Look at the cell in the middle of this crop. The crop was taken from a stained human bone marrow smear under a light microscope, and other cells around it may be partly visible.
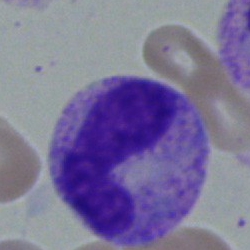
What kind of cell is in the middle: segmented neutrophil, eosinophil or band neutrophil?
band neutrophil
